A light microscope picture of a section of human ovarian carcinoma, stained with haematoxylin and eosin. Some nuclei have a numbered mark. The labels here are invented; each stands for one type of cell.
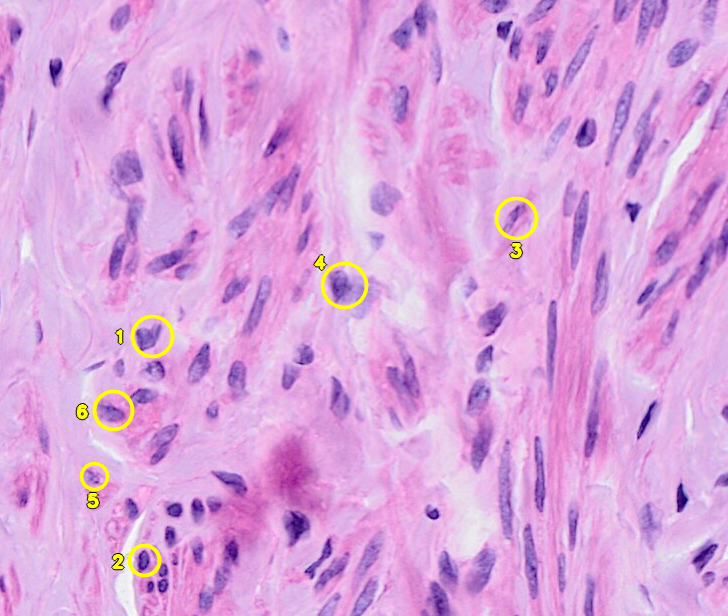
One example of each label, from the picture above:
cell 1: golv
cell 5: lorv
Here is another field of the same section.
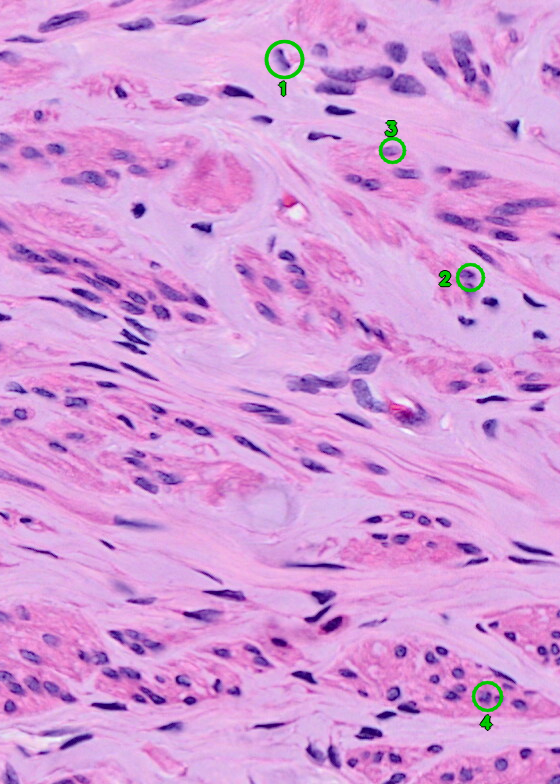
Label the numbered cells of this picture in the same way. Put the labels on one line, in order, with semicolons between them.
golv; lorv; lorv; lorv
